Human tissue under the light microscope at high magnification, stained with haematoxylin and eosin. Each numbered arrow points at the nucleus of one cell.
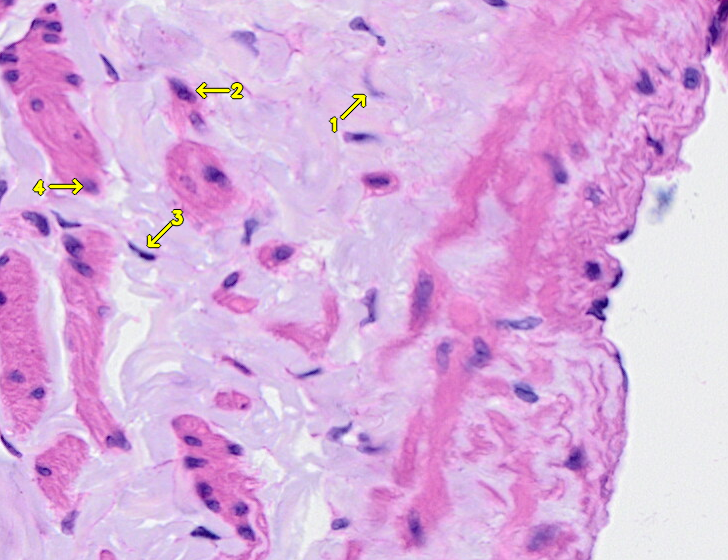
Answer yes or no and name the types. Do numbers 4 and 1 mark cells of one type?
No, cell 4 is classed as a smooth muscle cell and cell 1 as a fibroblast.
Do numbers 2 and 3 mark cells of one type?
No, the cell marked 2 is a smooth muscle cell, and the cell marked 3 is a fibroblast.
